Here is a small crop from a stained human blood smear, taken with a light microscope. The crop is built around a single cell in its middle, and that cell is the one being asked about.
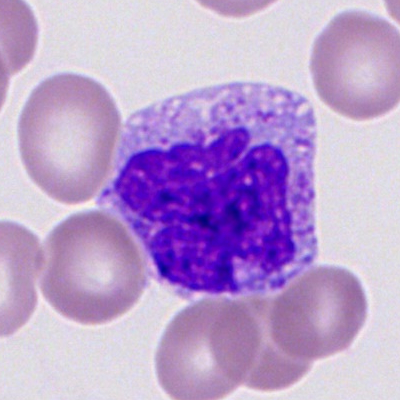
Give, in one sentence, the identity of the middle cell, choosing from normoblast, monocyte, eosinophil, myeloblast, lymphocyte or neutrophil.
The cell under consideration, at the middle of the crop, is a monocyte.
